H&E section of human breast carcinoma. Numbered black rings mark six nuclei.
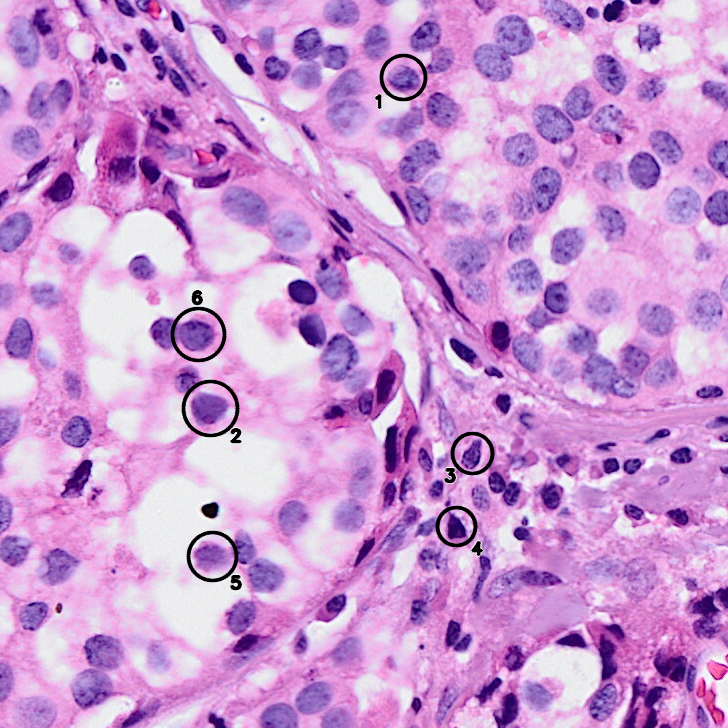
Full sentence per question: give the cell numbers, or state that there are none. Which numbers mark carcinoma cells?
The cells that the numbers 1, 2, 5 and 6 belong to are carcinoma cells.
